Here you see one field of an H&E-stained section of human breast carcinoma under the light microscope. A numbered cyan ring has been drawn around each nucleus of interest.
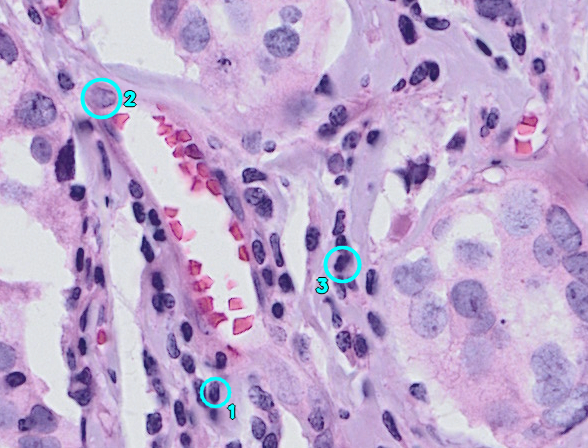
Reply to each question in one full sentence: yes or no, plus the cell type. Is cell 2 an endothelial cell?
Yes, the cell to which number 2 refers is an endothelial cell.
